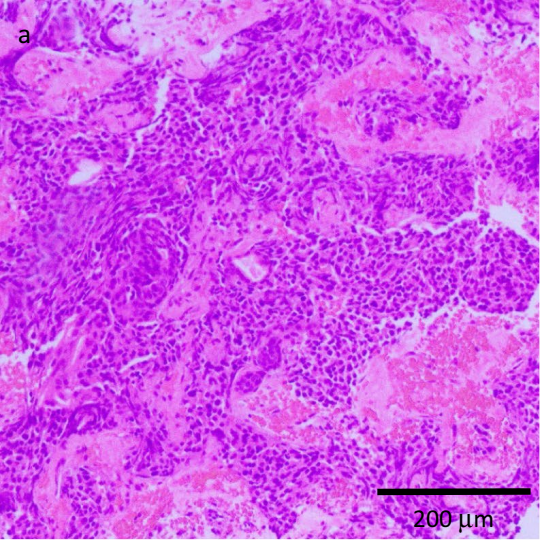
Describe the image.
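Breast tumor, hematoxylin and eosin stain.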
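The cells do not form tubules or glandular lumina anywhere in the field. Between the cellular sheets lie pale pink areas of stroma, some containing red blood cells. In places the cells appear to swirl or cluster around small vessels.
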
